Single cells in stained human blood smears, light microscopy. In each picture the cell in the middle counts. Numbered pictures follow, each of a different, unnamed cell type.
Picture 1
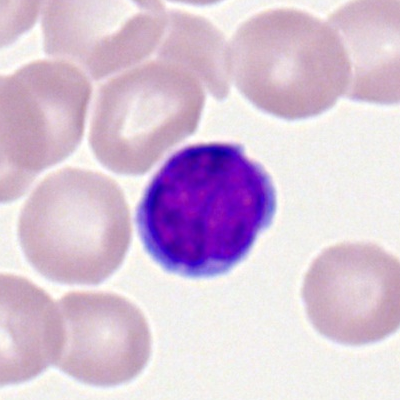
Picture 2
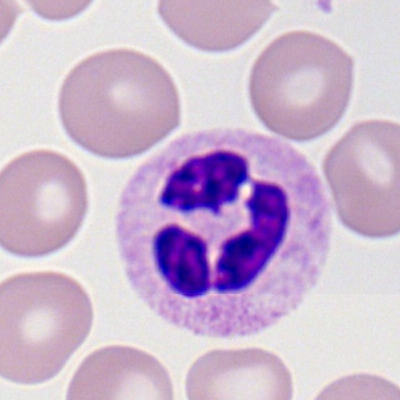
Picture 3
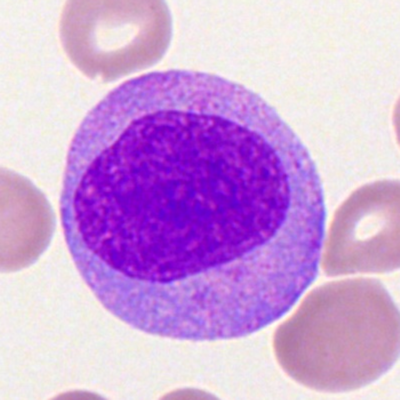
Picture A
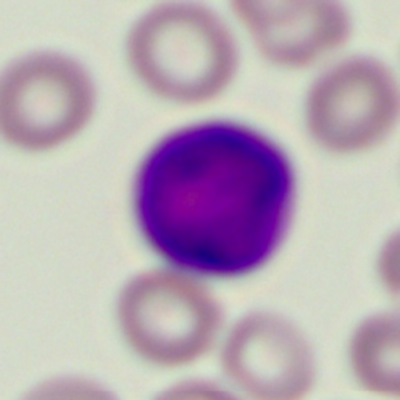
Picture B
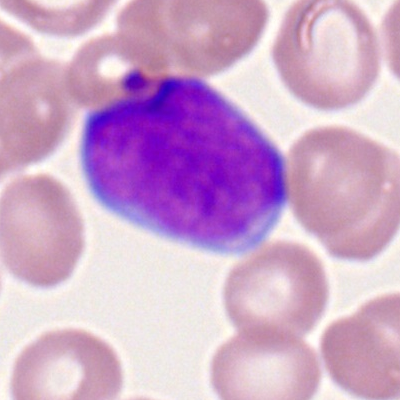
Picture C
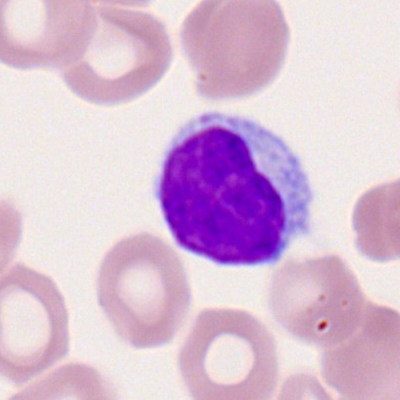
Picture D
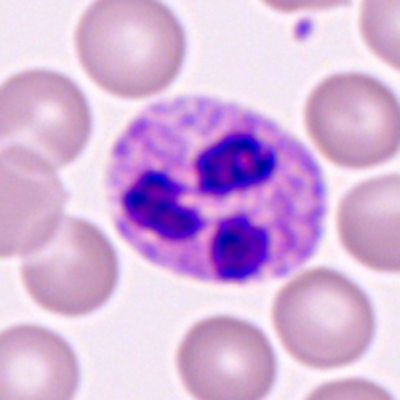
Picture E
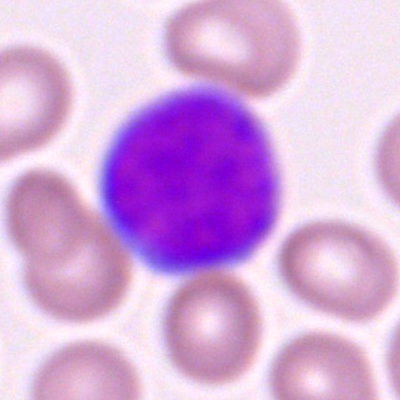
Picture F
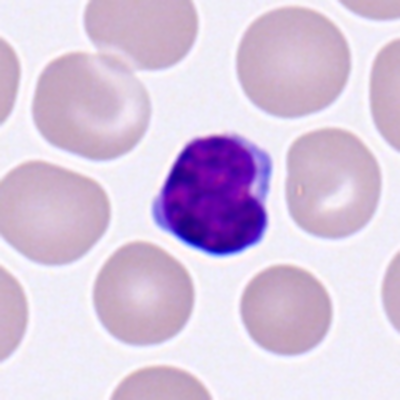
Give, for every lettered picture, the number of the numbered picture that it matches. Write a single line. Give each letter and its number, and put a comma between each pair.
A 3, B 3, C 1, D 2, E 3, F 1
